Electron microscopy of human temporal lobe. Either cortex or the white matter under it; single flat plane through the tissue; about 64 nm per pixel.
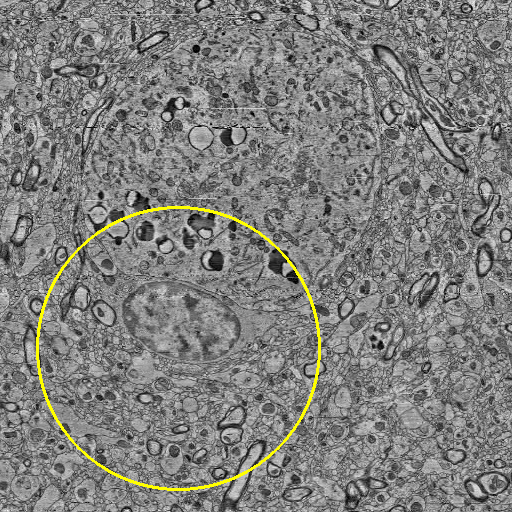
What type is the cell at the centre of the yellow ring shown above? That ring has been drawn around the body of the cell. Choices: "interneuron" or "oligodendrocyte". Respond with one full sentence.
My answer is that an oligodendrocyte lies at the centre of the yellow ring above.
